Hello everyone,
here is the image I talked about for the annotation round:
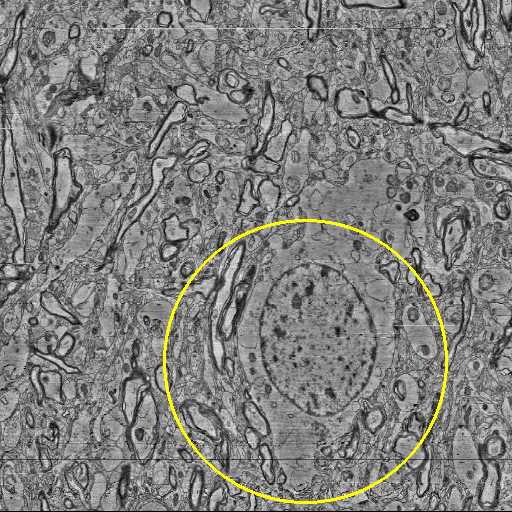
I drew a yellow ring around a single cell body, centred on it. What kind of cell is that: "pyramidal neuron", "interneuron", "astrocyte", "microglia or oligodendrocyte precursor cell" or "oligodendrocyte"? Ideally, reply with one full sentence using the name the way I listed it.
The cell your yellow ring is centred on is an astrocyte, going by your list.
